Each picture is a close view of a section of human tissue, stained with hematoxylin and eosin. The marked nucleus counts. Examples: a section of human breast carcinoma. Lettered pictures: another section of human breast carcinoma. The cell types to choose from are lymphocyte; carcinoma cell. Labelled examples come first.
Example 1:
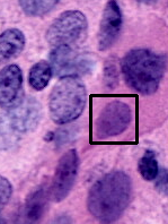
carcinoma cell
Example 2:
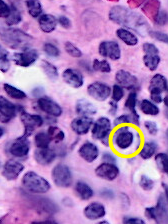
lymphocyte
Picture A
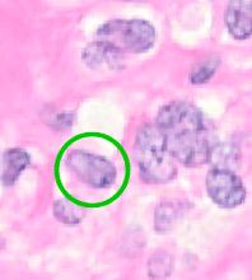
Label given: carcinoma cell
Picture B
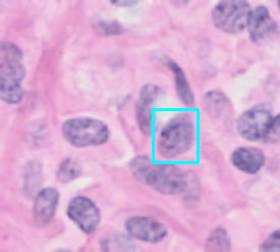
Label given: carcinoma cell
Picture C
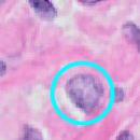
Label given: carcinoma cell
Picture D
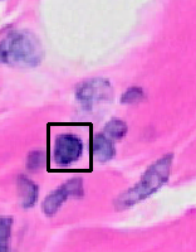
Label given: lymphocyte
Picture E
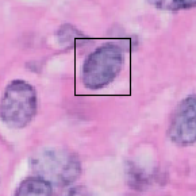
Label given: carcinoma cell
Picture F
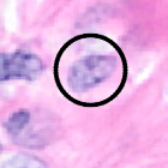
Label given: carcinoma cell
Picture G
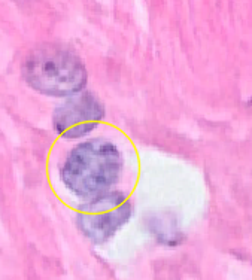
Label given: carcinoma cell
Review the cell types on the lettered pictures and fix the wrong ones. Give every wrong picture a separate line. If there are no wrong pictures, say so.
Nothing to fix; every label fits.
